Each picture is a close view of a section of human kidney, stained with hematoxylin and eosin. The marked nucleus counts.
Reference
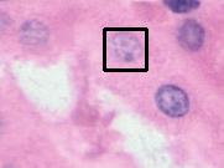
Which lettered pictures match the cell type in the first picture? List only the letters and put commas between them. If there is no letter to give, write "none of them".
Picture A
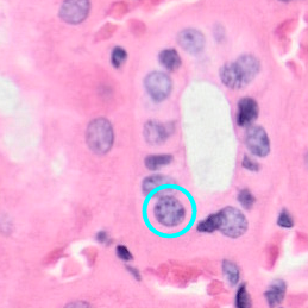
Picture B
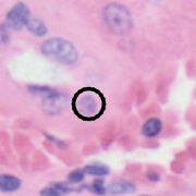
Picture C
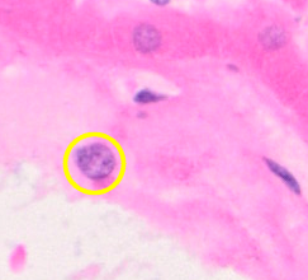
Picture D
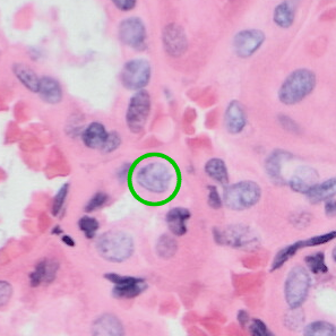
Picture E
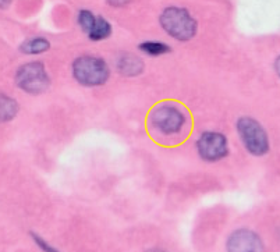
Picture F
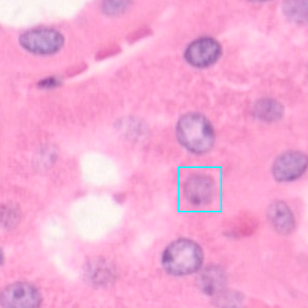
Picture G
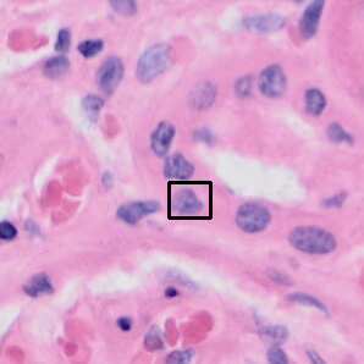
C, E, F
